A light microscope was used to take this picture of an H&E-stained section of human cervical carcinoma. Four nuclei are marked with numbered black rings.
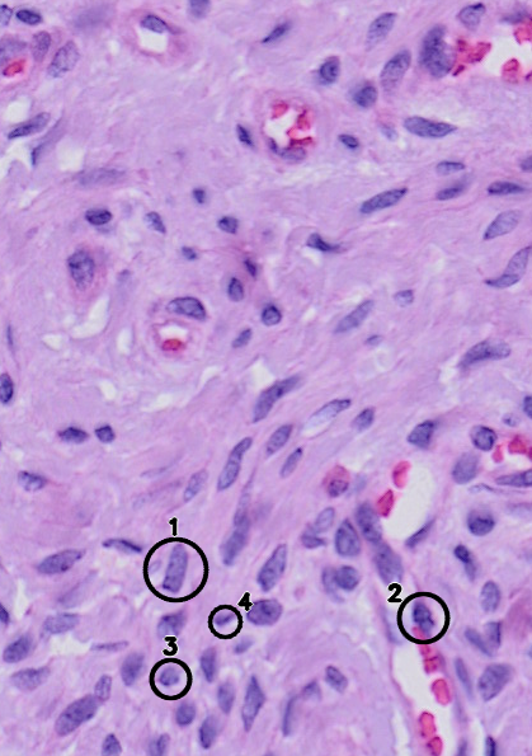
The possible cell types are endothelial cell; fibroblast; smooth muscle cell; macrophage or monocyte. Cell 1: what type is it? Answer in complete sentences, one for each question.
In the marked set, the cell given number 1 is a fibroblast.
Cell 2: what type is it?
The nucleus marked 2 is the nucleus of an endothelial cell.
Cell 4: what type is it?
The cell that bears the number 4 is a fibroblast.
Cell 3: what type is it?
Cell 3 is classified as a fibroblast.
